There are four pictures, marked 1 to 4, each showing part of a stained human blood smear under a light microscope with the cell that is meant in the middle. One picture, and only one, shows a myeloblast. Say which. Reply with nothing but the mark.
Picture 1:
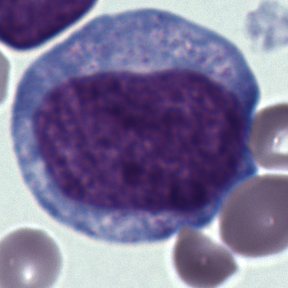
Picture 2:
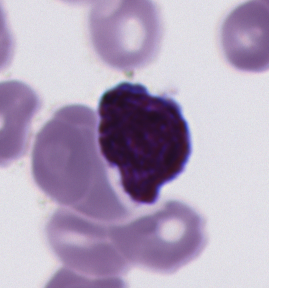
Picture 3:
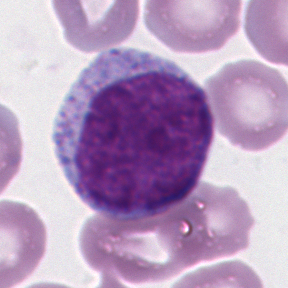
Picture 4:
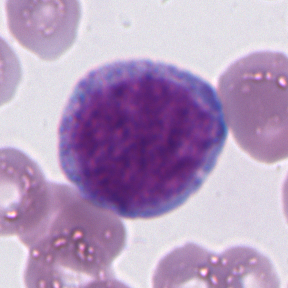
2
